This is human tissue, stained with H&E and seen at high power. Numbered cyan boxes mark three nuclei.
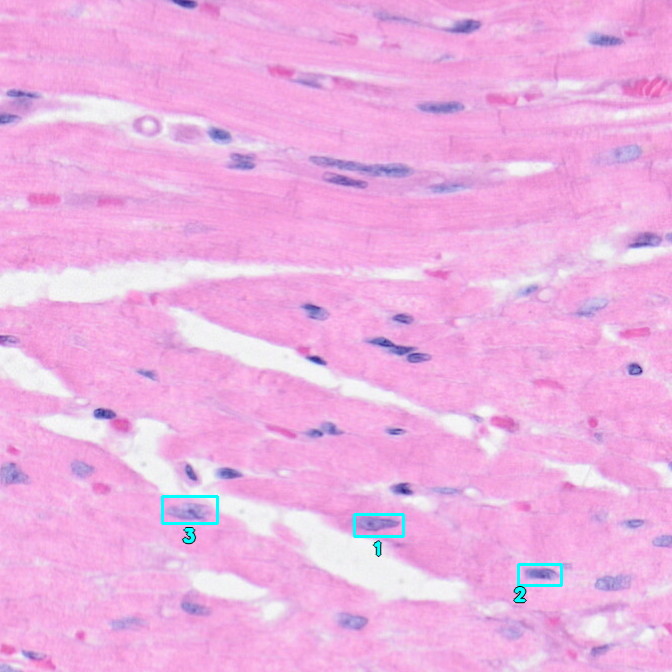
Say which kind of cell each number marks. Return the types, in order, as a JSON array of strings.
["cardiomyocyte", "endothelial cell", "cardiomyocyte"]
